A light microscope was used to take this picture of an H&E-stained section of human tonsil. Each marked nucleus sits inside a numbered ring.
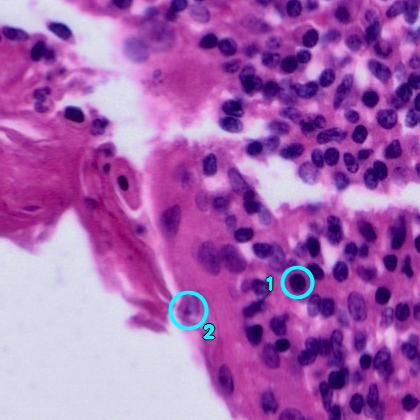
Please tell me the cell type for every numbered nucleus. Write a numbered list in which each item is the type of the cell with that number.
1. plasma cell
2. squamous epithelial cell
